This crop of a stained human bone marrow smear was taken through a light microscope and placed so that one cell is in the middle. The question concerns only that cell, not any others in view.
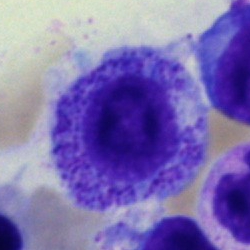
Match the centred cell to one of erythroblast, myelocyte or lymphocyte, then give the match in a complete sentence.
Located at the centre of the crop is a myelocyte.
